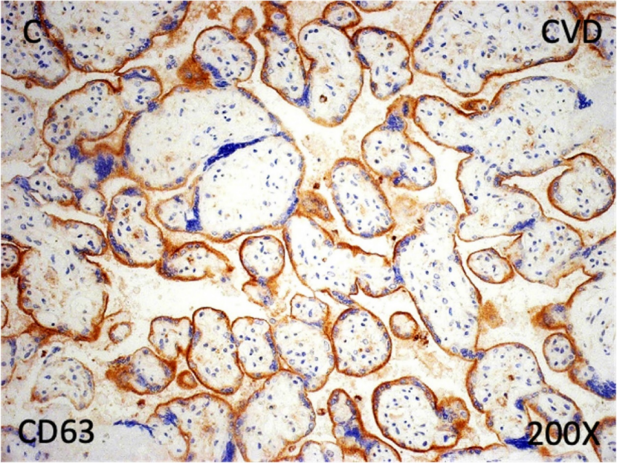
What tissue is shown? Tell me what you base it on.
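Many rounded and elongated tissue profiles cut in cross-section, separated by open space. Each profile has a loose stroma with scattered nuclei. Each profile is bordered by a thin continuous surface cell layer. So: placenta villi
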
